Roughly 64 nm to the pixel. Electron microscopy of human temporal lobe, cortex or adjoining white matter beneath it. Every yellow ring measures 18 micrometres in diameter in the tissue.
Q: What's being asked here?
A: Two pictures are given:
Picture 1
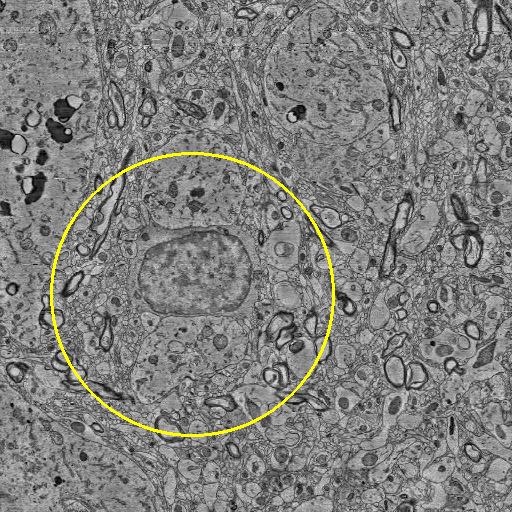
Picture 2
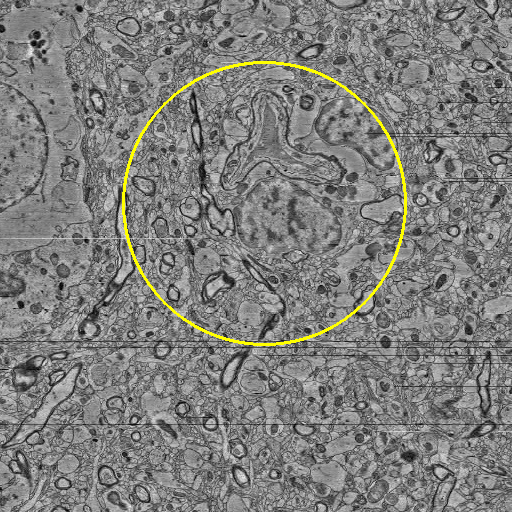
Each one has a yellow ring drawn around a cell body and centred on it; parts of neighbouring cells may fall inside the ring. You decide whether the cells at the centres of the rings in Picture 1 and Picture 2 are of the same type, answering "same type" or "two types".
same type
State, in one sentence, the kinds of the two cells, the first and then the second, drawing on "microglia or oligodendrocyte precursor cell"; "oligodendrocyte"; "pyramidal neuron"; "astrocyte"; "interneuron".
The cell in the first picture is an oligodendrocyte, and so is the one in the second.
